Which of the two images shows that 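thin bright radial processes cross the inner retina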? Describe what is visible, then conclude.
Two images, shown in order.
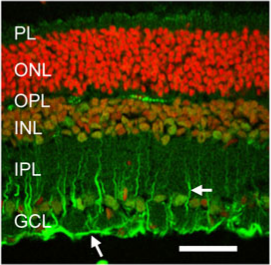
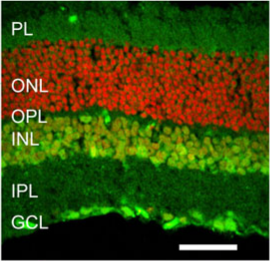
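The first image. First image: many thin bright green vertical strands cross the inner plexiform layer to the inner surface. Second image: the inner plexiform layer is evenly dim green without distinct vertical strands.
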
